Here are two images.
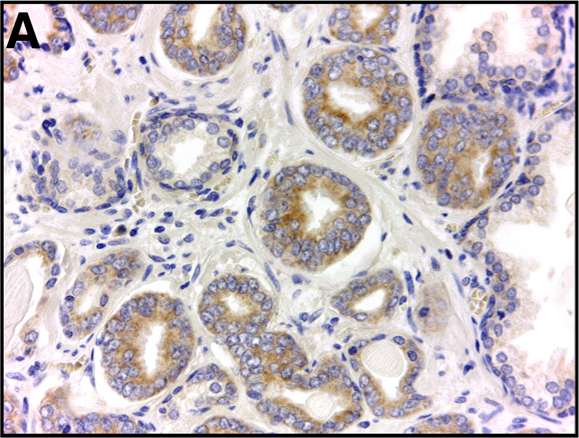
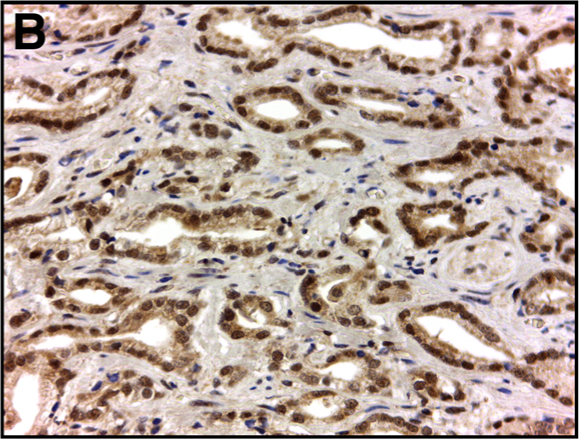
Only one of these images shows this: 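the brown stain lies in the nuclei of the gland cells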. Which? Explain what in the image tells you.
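Second image: the nuclei of the gland-lining cells are dark brown. First image: the brown stain is in the cytoplasm and the nuclei stay blue-grey.
Hence: the second image.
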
